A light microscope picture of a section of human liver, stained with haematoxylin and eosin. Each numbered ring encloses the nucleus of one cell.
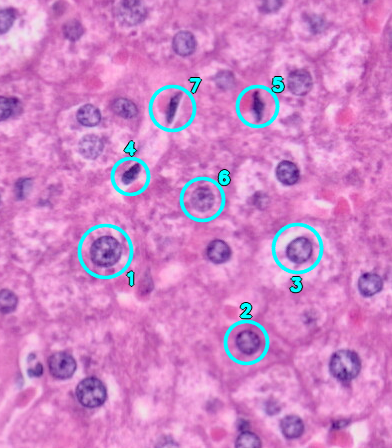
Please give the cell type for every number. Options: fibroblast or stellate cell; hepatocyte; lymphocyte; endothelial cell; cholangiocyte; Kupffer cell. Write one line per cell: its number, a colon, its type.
1: hepatocyte
2: hepatocyte
3: hepatocyte
4: lymphocyte
5: endothelial cell
6: hepatocyte
7: endothelial cell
